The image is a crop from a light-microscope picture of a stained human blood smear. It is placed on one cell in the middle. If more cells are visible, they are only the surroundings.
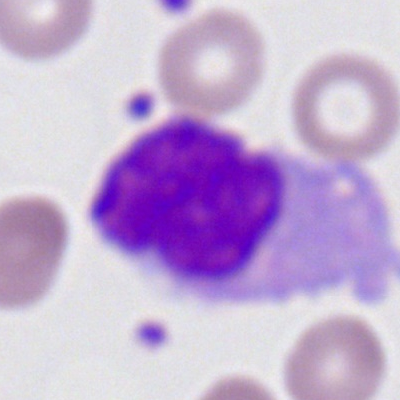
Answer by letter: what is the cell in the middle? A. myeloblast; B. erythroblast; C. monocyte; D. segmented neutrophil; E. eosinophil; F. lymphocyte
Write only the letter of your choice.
C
